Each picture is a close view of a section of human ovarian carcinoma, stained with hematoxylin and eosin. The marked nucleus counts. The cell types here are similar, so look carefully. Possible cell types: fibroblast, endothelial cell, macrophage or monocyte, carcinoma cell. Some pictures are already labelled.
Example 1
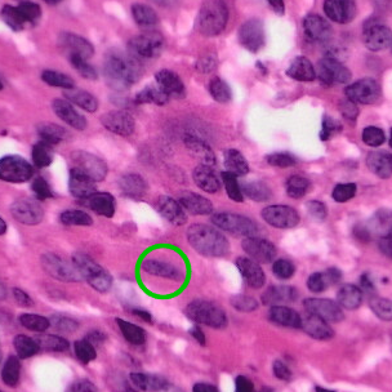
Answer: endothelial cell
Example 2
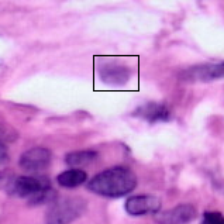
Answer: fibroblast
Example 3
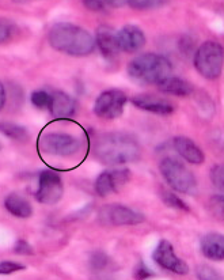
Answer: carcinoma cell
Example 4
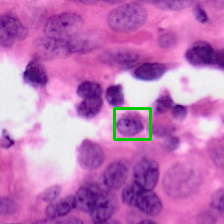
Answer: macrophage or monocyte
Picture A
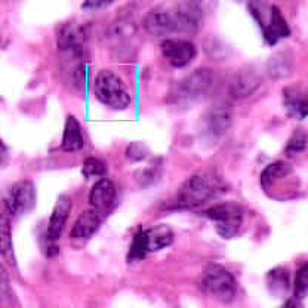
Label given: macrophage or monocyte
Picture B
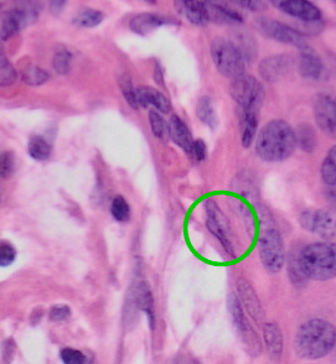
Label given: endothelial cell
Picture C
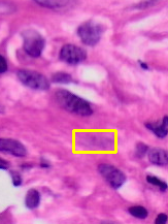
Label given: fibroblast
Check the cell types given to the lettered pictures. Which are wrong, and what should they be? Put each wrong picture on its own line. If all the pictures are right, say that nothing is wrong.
None of the labels needs changing.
